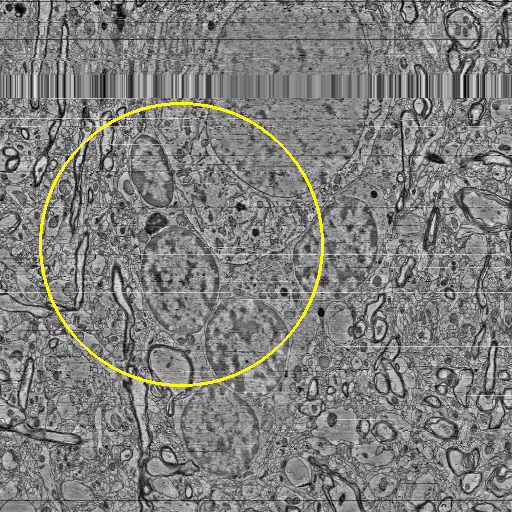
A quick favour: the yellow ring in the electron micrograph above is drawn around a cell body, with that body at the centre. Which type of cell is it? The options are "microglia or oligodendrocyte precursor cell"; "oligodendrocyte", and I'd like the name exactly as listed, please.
oligodendrocyte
